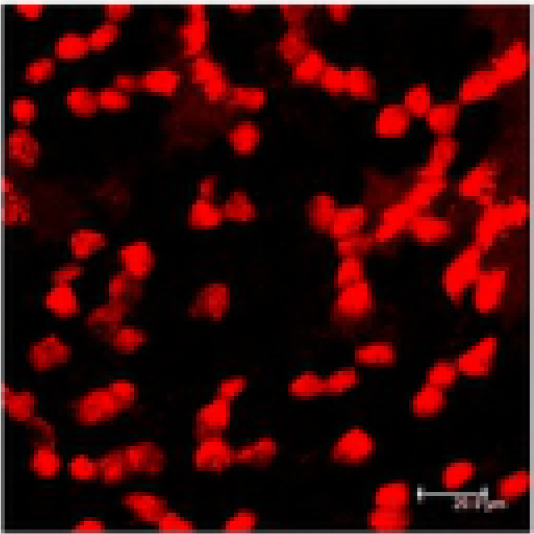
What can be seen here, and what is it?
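The patches lie close together in curving chains and small clusters, touching one another in places. Between these groups are dark, unstained areas of varying size where no red patches are seen. A few fainter, paler red areas lie at the upper left.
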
